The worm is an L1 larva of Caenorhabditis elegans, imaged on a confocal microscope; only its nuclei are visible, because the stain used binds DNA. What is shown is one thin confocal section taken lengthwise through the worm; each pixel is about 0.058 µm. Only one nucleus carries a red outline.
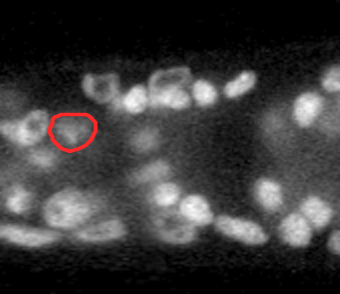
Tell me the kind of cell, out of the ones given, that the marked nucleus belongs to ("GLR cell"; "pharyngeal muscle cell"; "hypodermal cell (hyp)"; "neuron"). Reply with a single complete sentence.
The cell with the marked nucleus is a pharyngeal muscle cell.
